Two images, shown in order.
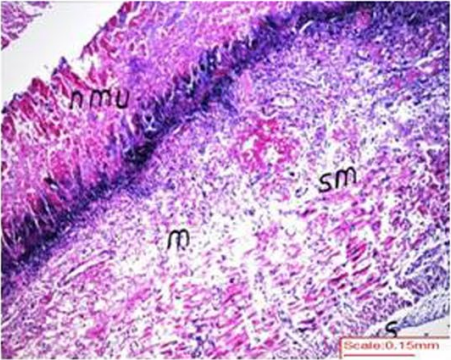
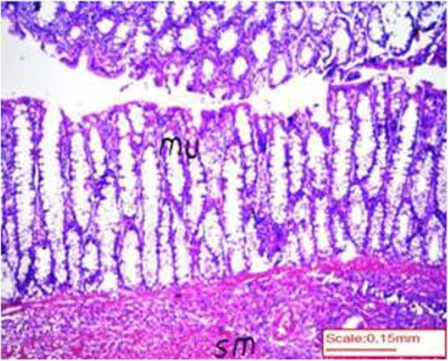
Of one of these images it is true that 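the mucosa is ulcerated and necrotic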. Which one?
the first image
